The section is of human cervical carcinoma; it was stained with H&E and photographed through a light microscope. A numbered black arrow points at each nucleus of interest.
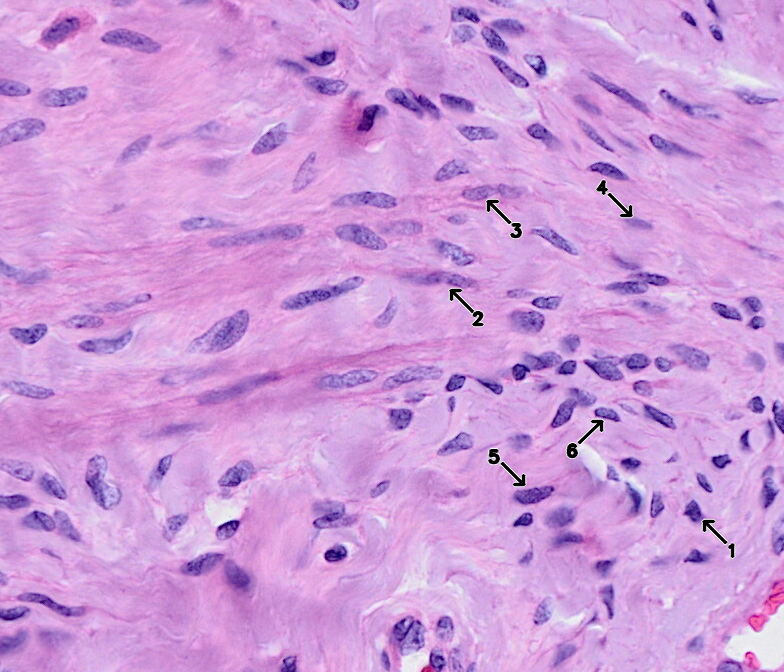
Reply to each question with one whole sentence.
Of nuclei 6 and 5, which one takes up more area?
It is nucleus 5, which covers about 2.5 times the area of nucleus 6.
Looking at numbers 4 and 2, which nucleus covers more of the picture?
Nucleus 2 is larger, with an area about 2.5 times that of nucleus 4.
